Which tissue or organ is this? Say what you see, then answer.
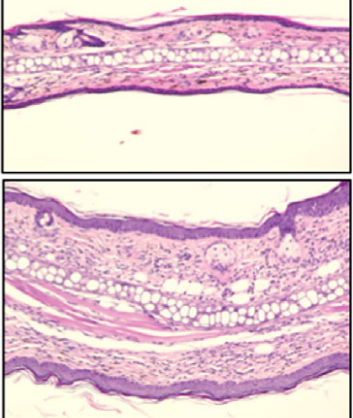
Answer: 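A thin flat sheet of tissue covered on both faces by a purple-staining epidermis. A central band with rows of pale, empty-looking rounded cells runs between the two skin surfaces. So: Ear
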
